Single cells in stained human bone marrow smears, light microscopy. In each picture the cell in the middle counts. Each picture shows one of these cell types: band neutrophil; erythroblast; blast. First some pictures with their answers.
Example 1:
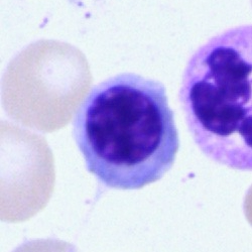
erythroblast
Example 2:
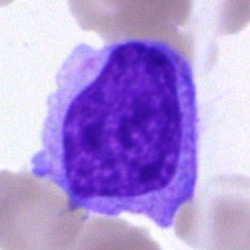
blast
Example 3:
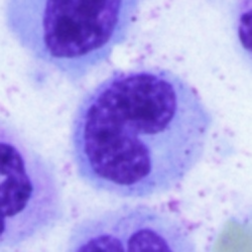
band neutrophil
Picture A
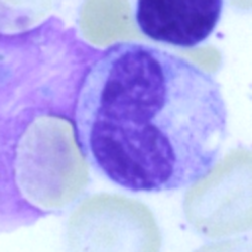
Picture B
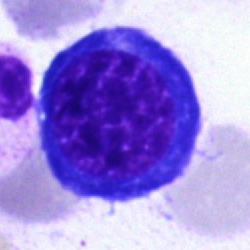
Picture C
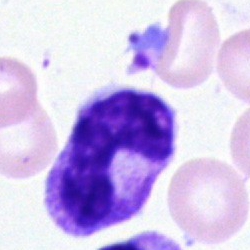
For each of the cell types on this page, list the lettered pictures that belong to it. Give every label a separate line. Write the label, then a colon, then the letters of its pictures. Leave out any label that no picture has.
band neutrophil: A, C
erythroblast: B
